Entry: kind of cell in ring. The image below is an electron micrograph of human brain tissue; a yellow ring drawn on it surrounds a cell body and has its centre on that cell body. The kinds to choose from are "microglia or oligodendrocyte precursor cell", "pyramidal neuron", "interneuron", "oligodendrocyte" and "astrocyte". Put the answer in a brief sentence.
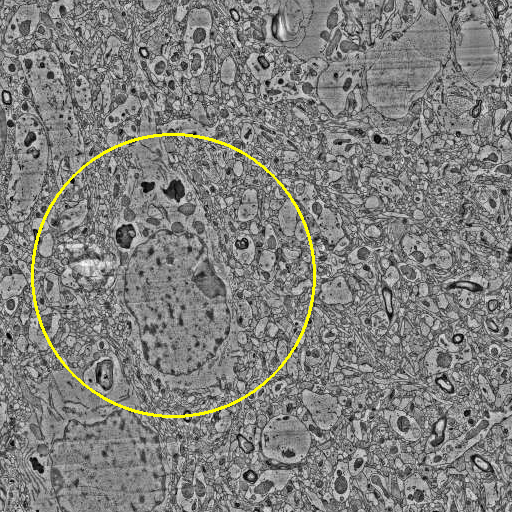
The ring has been drawn around an astrocyte.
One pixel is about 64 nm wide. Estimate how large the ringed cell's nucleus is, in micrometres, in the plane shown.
About 9 by 7 micrometres in this plane.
